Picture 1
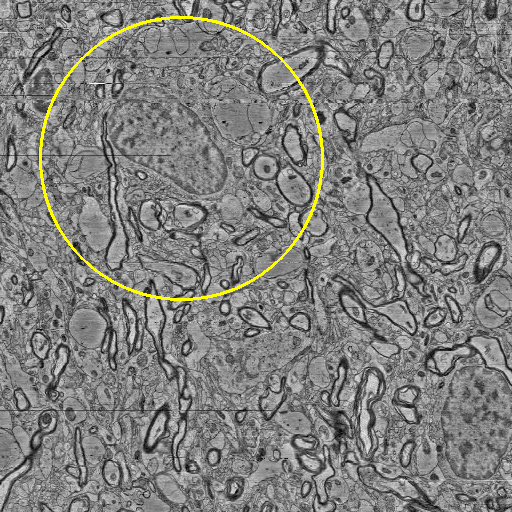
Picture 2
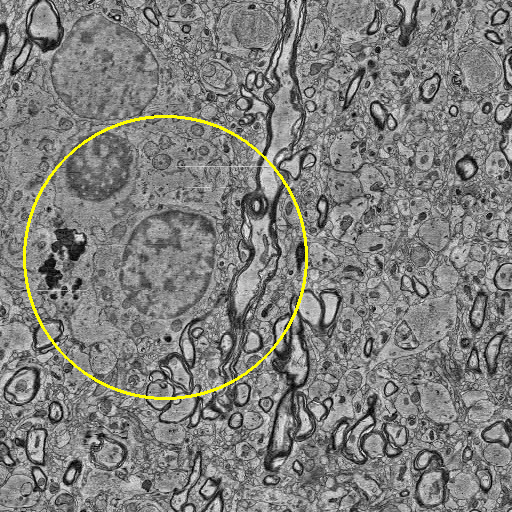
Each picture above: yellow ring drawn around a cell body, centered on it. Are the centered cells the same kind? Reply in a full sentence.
Yes, the two cells are the same kind.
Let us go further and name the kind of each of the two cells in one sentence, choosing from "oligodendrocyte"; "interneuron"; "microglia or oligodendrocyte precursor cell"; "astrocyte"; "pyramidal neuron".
The ring centre holds an oligodendrocyte in each of the two pictures.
